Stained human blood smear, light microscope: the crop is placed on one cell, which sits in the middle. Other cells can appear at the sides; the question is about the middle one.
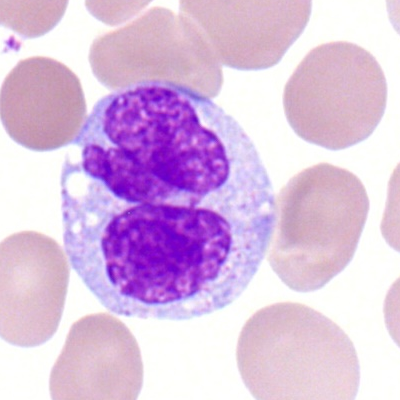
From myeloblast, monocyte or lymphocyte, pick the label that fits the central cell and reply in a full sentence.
Standing at the centre of this crop is a monocyte.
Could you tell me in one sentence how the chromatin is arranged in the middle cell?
If you check the nucleus, you will find the chromatin coarsely clumped.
